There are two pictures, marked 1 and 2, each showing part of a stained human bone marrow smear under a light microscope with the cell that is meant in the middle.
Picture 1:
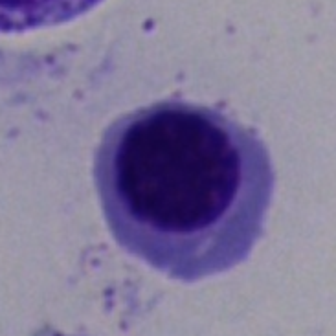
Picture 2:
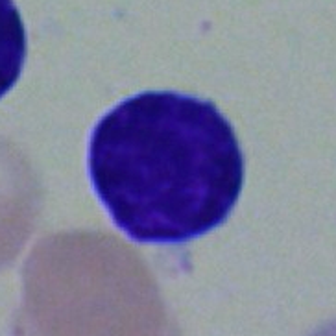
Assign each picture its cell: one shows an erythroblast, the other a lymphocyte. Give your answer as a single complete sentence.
The cell in picture 1 is an erythroblast, and the one in picture 2 is a lymphocyte.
